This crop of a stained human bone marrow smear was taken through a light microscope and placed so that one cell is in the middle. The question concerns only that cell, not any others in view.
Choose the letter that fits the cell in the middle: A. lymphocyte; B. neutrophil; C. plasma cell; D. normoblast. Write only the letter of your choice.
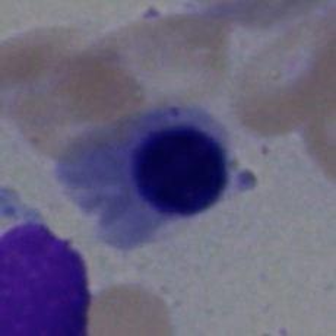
D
